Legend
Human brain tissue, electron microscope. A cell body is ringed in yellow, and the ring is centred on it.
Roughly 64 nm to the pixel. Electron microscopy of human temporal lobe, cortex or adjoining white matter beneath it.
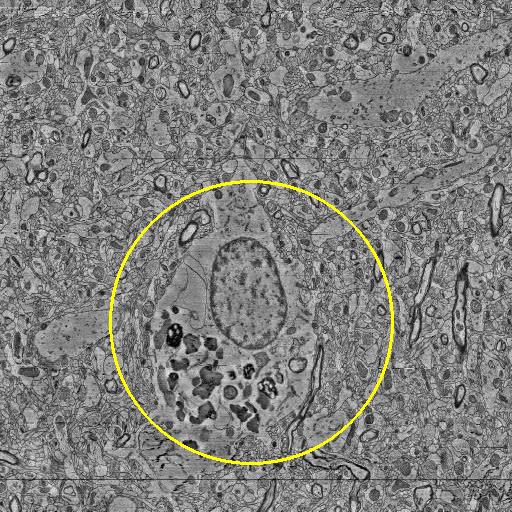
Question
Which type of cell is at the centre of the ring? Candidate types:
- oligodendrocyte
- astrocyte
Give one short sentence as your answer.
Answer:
The yellow ring is centred here on an astrocyte.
